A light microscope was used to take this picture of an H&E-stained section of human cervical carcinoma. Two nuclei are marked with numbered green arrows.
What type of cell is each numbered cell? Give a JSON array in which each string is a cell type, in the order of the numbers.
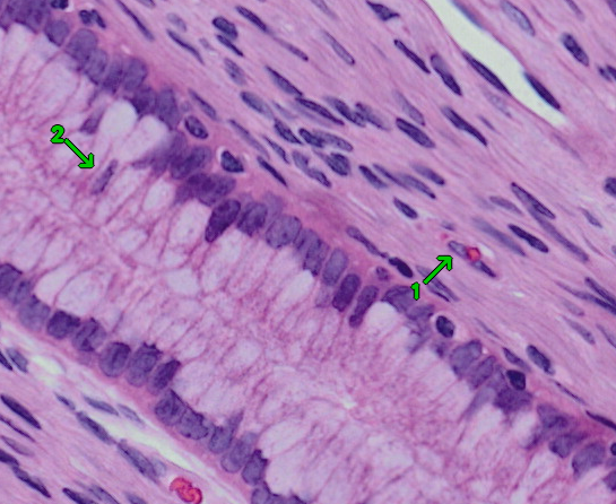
["endothelial cell", "secretory epithelial cell"]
